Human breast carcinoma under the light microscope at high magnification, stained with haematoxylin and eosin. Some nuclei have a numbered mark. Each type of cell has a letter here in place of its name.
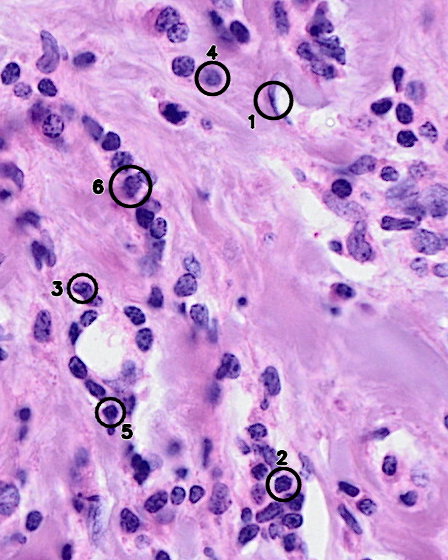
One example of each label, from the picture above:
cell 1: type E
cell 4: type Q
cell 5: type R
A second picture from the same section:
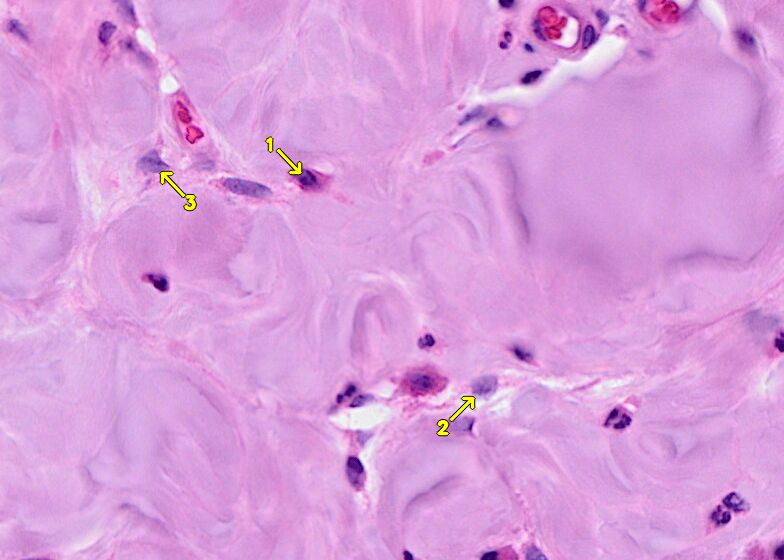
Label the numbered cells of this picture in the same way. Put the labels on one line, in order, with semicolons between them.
type Q; type E; type E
